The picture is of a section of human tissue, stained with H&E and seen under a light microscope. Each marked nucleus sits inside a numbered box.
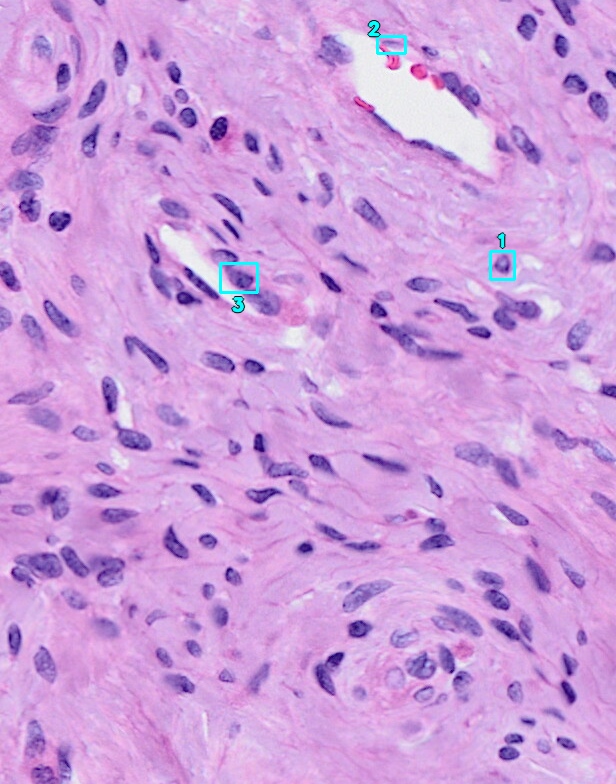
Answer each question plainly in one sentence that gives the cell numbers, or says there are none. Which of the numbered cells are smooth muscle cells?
Only the cell at mark 1 is a smooth muscle cell, and no other marked cell is.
